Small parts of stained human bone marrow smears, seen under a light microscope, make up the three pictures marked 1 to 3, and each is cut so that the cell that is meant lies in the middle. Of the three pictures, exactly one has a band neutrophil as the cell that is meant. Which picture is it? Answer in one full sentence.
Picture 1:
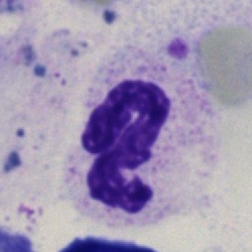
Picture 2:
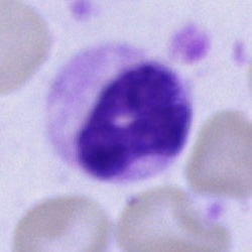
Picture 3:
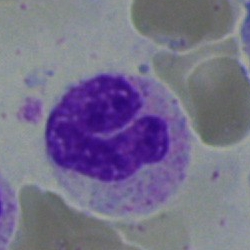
The band neutrophil is the one in picture 3.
